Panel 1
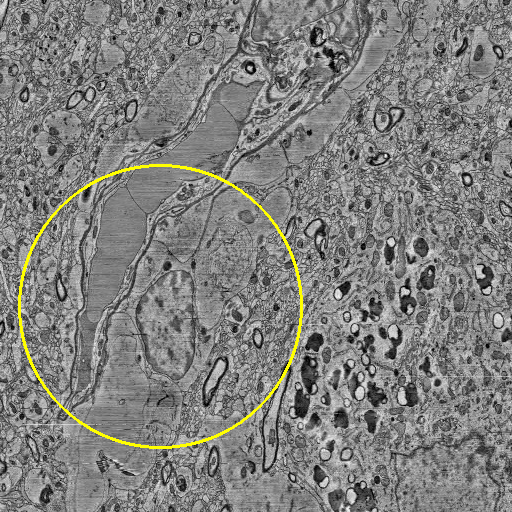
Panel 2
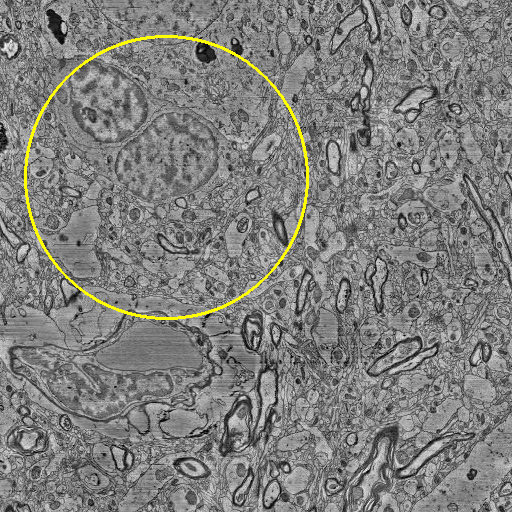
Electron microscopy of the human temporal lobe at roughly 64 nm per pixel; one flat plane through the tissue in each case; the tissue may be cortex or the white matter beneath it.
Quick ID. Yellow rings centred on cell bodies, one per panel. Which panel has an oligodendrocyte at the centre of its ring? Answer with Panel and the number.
Panel 2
